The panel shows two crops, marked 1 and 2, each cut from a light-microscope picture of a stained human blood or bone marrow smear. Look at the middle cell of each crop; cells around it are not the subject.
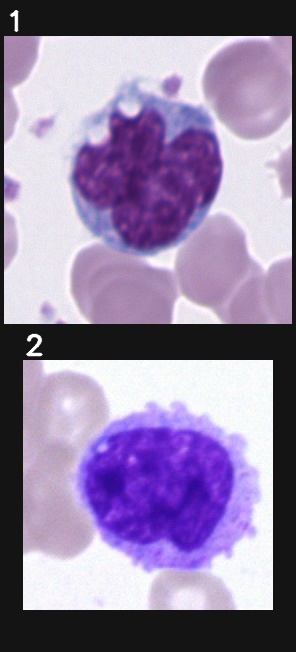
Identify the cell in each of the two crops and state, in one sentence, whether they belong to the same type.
Yes, for both crops, the central cells are monocytes.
